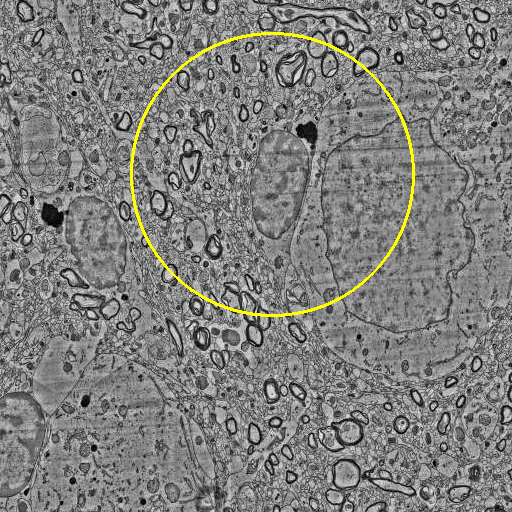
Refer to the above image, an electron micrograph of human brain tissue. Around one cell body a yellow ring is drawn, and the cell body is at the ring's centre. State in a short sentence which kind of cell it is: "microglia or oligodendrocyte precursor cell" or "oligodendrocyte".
The centre of the ring falls on an oligodendrocyte.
